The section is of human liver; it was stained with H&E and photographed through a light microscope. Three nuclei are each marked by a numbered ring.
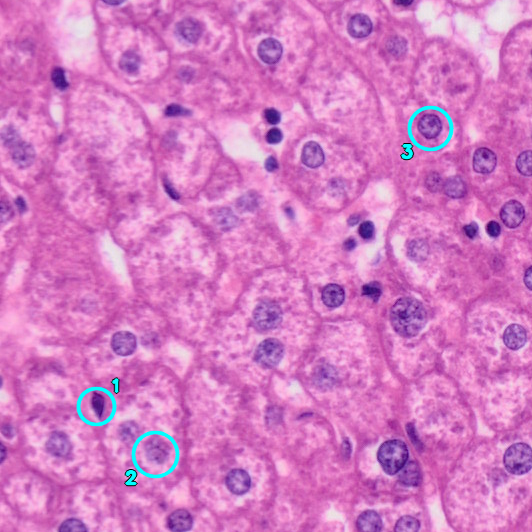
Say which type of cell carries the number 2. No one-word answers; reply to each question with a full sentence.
Looking at the numbered marks, cell 2 is a hepatocyte.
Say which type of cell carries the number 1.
In this section, the cell numbered 1 is an endothelial cell.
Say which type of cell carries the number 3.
In the tissue shown, cell 3 is a hepatocyte.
